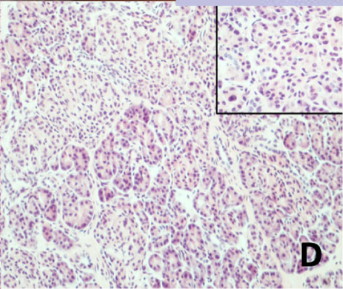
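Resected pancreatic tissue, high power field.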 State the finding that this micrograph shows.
Enlarged, hyperchromatic nuclei.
